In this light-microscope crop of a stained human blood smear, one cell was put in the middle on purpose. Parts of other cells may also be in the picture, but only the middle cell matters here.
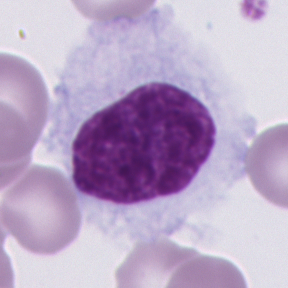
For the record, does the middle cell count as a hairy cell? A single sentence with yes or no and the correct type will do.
Yes, the cell that occupies the centre is a hairy cell.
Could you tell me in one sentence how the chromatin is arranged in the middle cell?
The chromatin pattern here is coarse and clumped.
